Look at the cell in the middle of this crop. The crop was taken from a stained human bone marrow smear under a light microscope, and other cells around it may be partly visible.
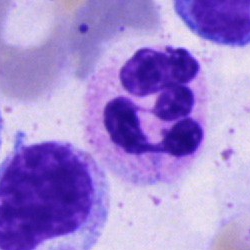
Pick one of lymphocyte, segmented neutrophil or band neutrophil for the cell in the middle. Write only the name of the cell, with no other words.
segmented neutrophil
